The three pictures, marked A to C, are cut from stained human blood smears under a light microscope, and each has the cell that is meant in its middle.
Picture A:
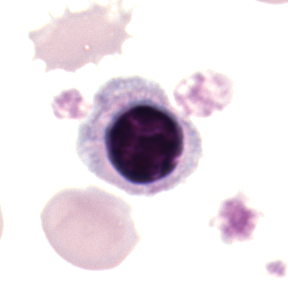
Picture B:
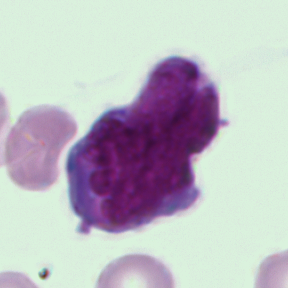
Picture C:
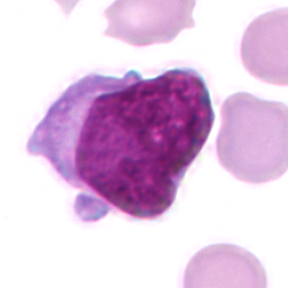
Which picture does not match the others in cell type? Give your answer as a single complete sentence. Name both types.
All pictures except A show atypical promyelocytes; picture A shows a normoblast.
